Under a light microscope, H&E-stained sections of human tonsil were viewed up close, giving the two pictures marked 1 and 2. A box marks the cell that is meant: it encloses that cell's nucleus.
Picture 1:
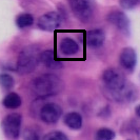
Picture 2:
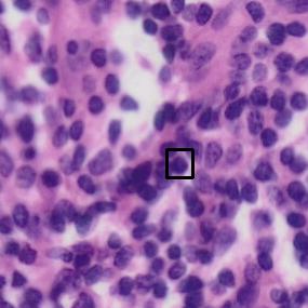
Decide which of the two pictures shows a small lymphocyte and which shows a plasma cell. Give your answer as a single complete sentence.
The cell in picture 1 is a plasma cell, and the one in picture 2 is a small lymphocyte.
